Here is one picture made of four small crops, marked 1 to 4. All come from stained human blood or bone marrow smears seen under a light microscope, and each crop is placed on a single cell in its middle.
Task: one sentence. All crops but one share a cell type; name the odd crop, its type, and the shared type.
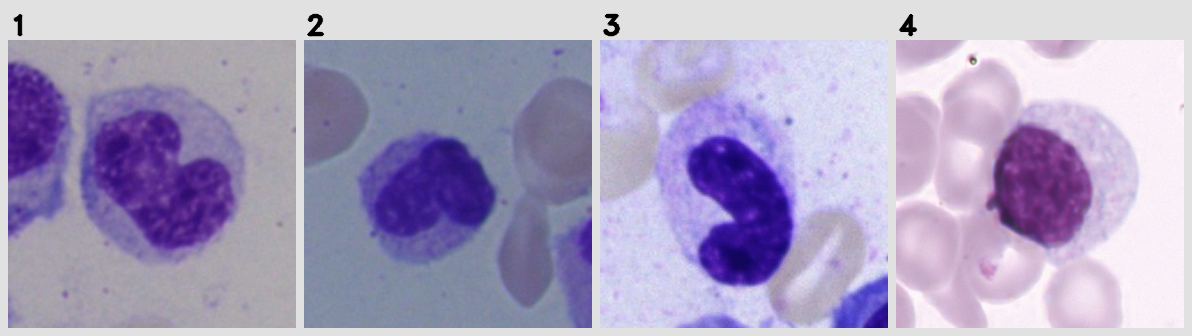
Crop 4 is the one to flag: it is a metamyelocyte, and the rest show band neutrophils.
